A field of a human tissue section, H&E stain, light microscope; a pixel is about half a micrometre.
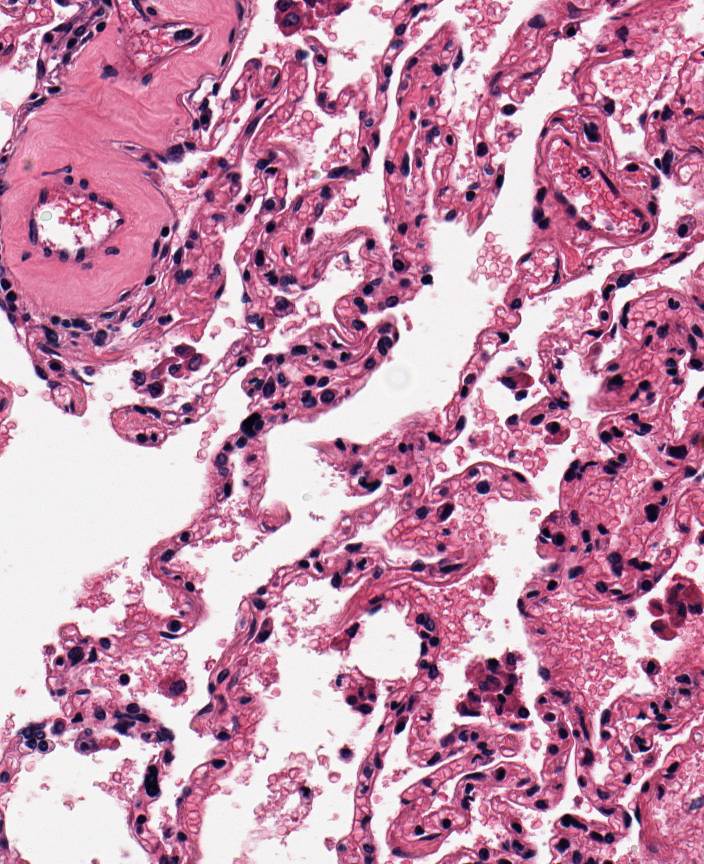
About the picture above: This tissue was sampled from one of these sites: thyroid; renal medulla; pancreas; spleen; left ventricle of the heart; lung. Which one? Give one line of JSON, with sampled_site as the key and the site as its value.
{"sampled_site": "lung"}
